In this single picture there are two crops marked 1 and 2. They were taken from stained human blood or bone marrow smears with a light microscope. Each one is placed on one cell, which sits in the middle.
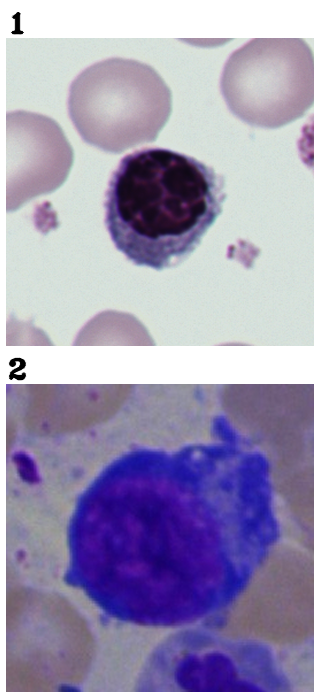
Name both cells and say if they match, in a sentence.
No, crop 1 corresponds to an erythroblast, while crop 2 corresponds to a plasma cell.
